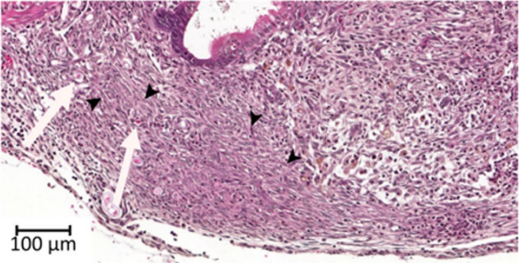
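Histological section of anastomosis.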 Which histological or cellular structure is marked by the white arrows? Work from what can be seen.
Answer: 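The arrows point to small round lumina within the cellular tissue.
Conclusion: blood vessels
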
